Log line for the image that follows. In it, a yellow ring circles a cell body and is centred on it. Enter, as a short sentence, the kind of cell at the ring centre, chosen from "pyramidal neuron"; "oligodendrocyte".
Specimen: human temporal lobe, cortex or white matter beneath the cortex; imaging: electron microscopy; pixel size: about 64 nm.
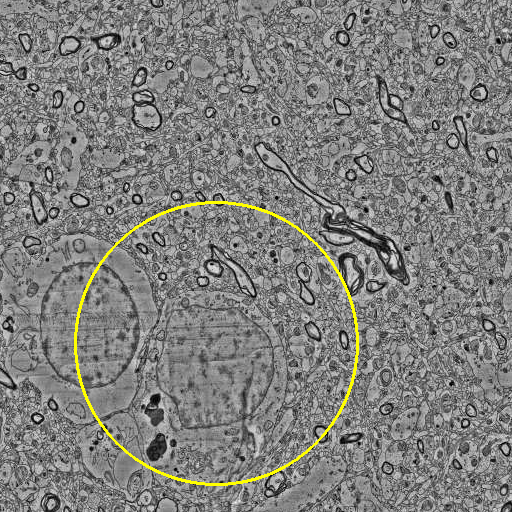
The ring centre is occupied by a pyramidal neuron.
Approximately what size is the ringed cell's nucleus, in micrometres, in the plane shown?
Approximately 8 micrometres across in this plane.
